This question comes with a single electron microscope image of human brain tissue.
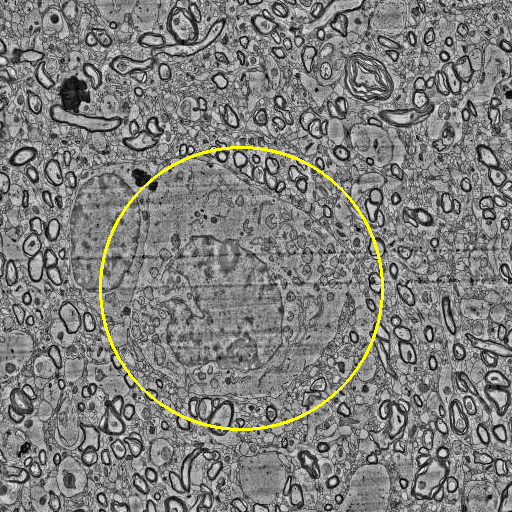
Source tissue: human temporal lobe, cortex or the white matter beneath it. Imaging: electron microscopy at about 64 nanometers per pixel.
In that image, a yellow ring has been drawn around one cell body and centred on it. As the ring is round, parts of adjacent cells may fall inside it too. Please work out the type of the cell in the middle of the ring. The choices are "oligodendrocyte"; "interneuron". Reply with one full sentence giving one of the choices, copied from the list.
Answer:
Of the choices, an interneuron is the cell sitting in the middle of the ring.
